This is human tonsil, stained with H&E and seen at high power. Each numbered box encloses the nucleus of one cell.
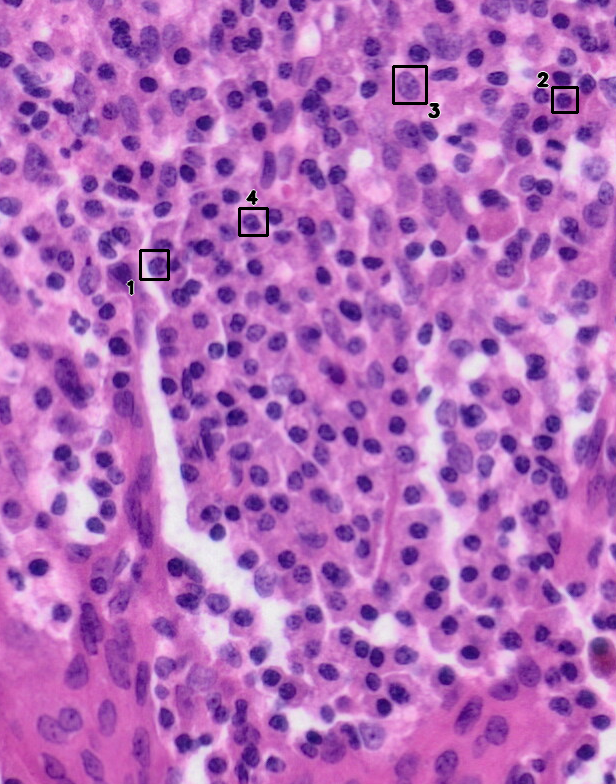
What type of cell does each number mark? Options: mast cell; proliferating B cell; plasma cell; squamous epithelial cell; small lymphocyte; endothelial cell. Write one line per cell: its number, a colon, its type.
1: plasma cell
2: plasma cell
3: squamous epithelial cell
4: plasma cell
